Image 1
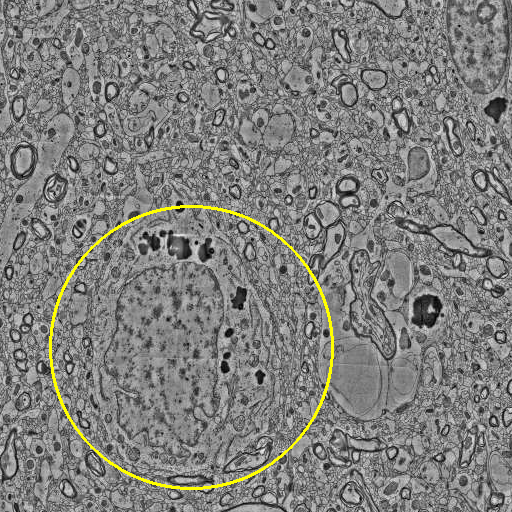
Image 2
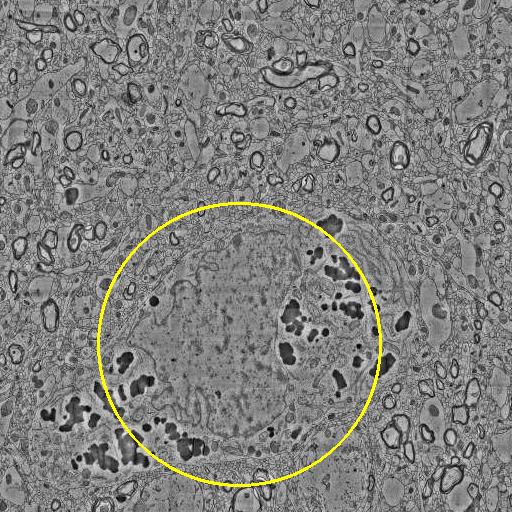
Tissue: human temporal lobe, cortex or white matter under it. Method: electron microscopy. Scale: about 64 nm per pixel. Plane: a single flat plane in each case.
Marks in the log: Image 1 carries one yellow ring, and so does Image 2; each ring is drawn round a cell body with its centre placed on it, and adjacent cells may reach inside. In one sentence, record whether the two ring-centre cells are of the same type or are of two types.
The two cells at the ring centres, one in each image, are of the same type.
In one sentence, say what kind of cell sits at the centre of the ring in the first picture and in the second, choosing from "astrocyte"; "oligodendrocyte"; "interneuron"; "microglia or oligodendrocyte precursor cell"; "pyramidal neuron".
Each cell, in the first picture and the second, is an interneuron.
